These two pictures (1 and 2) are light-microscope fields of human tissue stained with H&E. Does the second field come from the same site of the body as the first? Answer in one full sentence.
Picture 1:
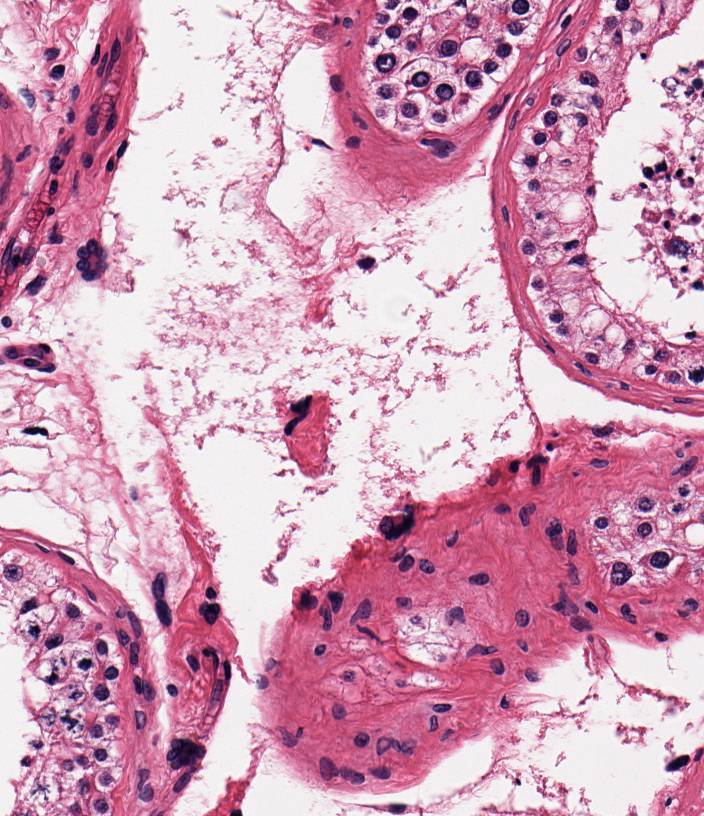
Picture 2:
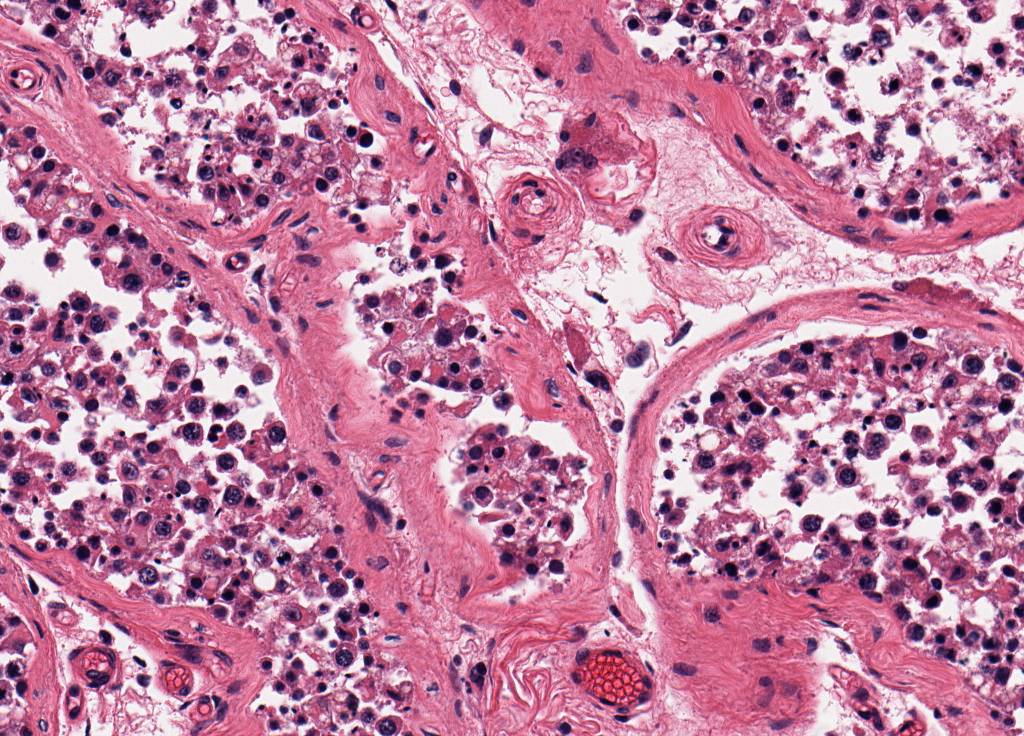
Yes, the two fields both come from the testis.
